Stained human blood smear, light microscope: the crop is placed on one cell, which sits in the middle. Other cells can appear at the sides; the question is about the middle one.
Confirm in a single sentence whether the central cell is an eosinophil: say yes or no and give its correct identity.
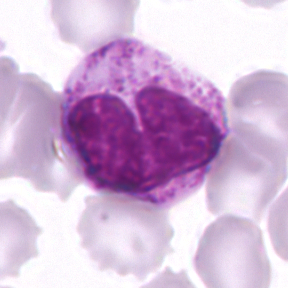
No, it is not an eosinophil that sits at the centre but a band neutrophil.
